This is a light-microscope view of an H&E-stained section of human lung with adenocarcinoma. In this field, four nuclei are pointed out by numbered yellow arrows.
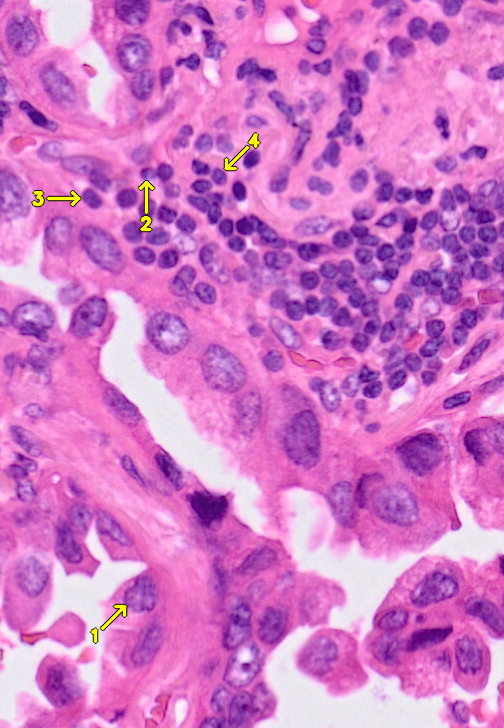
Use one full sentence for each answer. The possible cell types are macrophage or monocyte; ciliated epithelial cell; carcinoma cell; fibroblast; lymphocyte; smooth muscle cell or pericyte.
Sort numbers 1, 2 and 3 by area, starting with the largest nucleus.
From largest to smallest, the order is 1, 3, 2.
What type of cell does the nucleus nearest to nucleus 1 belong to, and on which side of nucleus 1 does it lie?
A carcinoma cell lies closest, below nucleus 1.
